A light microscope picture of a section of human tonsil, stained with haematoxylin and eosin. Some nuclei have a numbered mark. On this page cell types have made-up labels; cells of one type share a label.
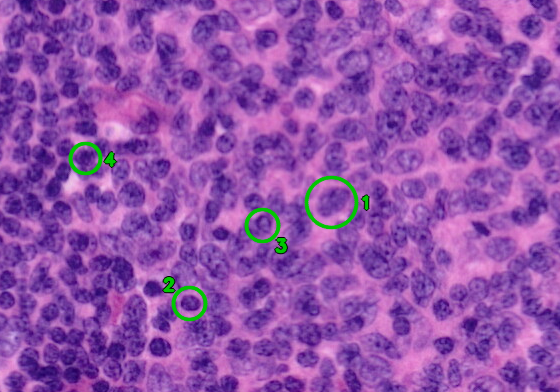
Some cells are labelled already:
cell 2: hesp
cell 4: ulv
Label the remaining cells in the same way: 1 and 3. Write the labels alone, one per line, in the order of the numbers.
hesp
hesp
